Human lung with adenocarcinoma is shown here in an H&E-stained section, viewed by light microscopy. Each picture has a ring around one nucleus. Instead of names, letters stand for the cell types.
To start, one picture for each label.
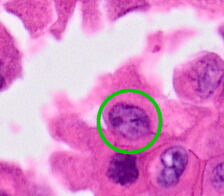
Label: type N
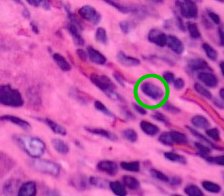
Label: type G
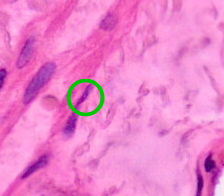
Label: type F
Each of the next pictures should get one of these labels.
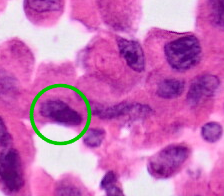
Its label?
type N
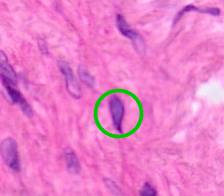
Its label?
type F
